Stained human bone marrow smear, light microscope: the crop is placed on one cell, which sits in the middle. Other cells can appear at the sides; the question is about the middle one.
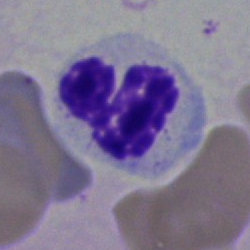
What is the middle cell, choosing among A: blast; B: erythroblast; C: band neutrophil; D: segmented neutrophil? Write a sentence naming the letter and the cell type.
The central cell in this crop is a segmented neutrophil, corresponding to option D, the correct option.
